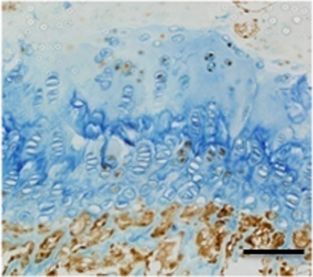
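Growth plate cartilage with chondrocytes lying in lacunae within a blue-stained matrix. Toward the upper part of the band, small flattened to rounded chondrocytes are present, several with dark brown nuclei scattered among unstained ones. Lower down the cells enlarge and line up in vertical columns with wide pale lacunae. Beneath the cartilage lies a zone of densely brown-stained marrow and vascular tissue. Above the cartilage is a paler tissue with small scattered nuclei.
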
